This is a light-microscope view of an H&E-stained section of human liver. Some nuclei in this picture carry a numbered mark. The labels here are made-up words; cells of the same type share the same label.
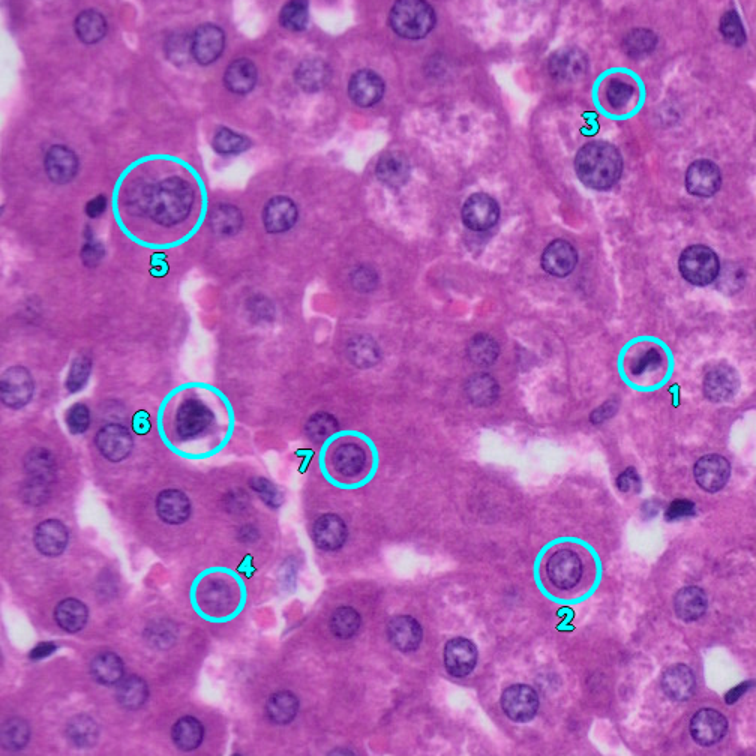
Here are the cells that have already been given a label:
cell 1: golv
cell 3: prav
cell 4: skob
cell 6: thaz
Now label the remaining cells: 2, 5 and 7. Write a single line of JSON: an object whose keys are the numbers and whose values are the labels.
{"2": "skob", "5": "skob", "7": "skob"}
